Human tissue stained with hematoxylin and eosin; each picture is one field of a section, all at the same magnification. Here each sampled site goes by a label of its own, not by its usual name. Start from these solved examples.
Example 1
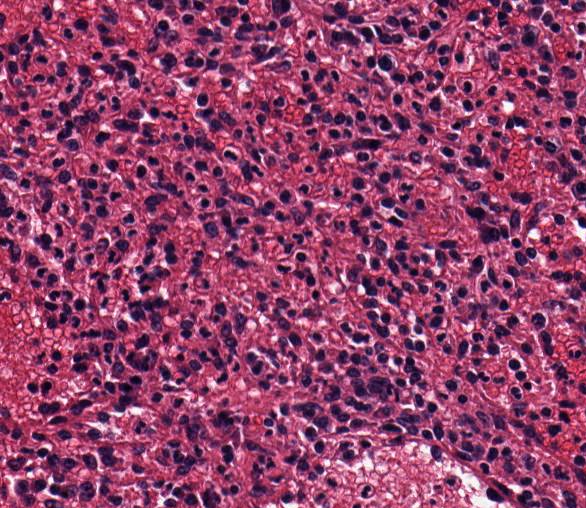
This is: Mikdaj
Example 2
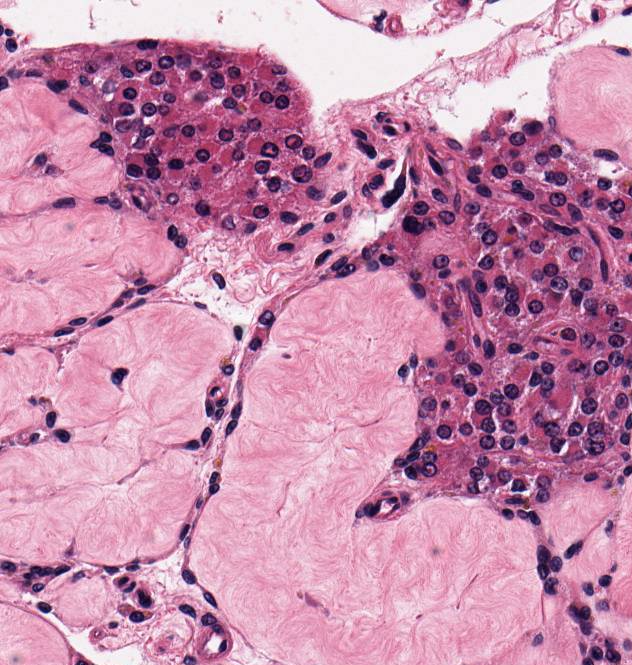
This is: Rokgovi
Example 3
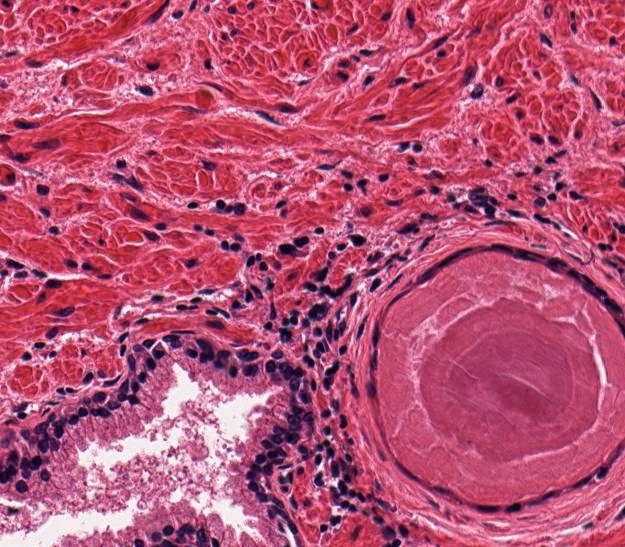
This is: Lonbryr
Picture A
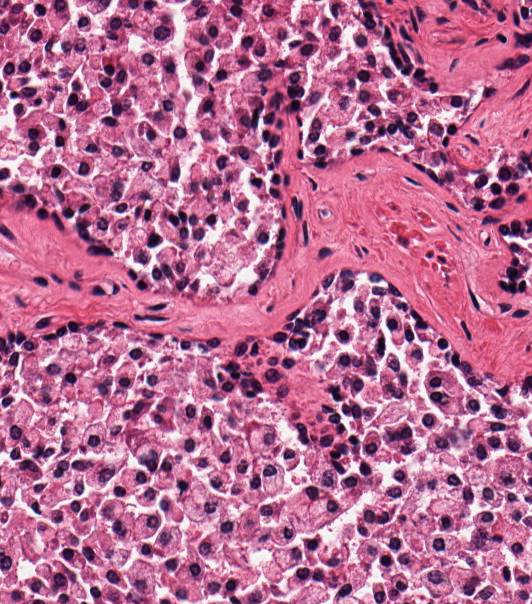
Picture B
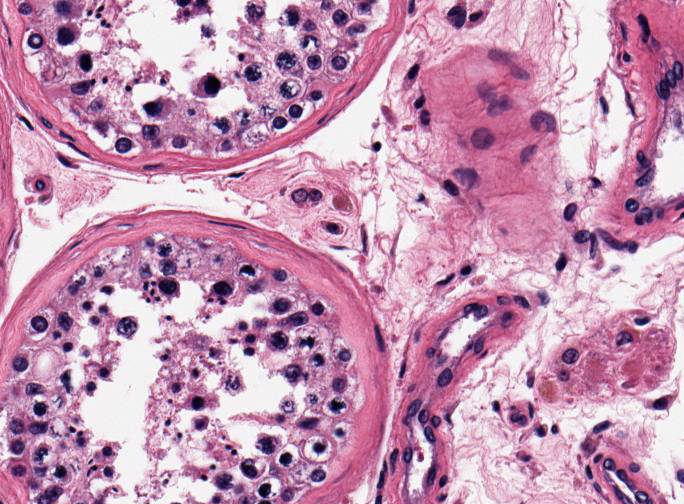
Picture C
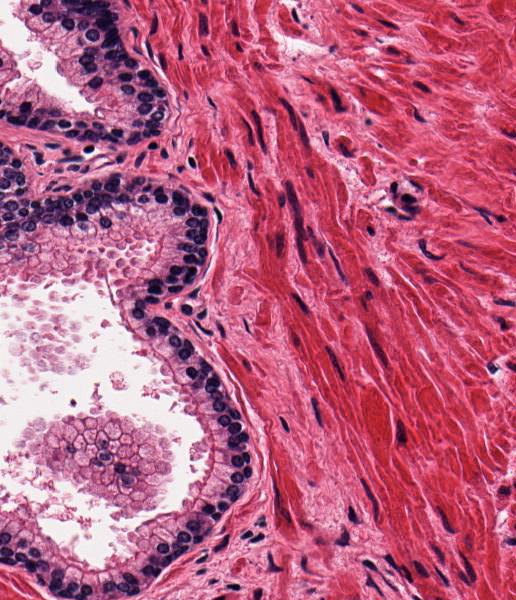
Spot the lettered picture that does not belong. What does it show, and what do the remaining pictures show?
B: Rokgovi; all the others: Lonbryr.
